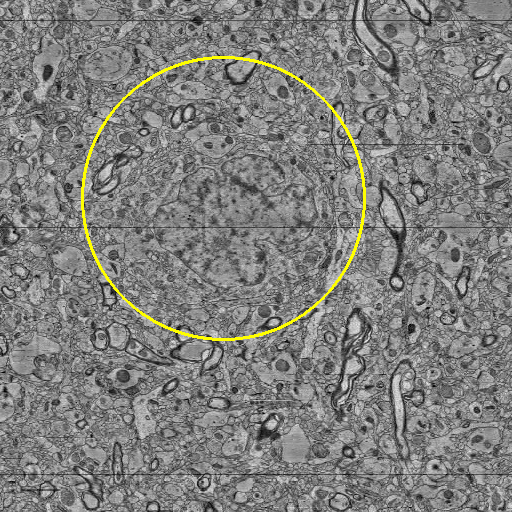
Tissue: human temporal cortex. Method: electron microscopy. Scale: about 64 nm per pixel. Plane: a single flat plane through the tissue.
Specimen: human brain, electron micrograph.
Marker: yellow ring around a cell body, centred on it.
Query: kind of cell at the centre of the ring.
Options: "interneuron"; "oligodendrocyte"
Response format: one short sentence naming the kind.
This cell body belongs to an interneuron.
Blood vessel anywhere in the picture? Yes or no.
No, none is visible.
